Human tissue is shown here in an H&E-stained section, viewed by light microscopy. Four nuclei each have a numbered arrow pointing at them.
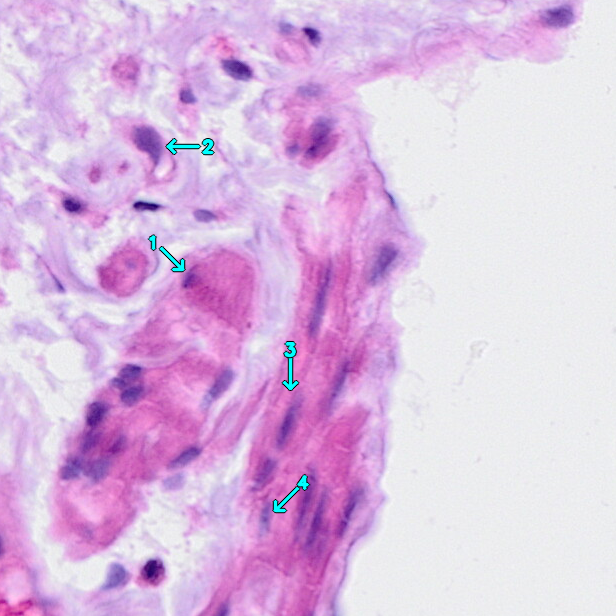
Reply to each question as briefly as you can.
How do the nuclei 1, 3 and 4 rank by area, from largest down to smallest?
3, 4, 1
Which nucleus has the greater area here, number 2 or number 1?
2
